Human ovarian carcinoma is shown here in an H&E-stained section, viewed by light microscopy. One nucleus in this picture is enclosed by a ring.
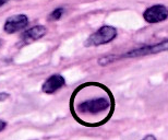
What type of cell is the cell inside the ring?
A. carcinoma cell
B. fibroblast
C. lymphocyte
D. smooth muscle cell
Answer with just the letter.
C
